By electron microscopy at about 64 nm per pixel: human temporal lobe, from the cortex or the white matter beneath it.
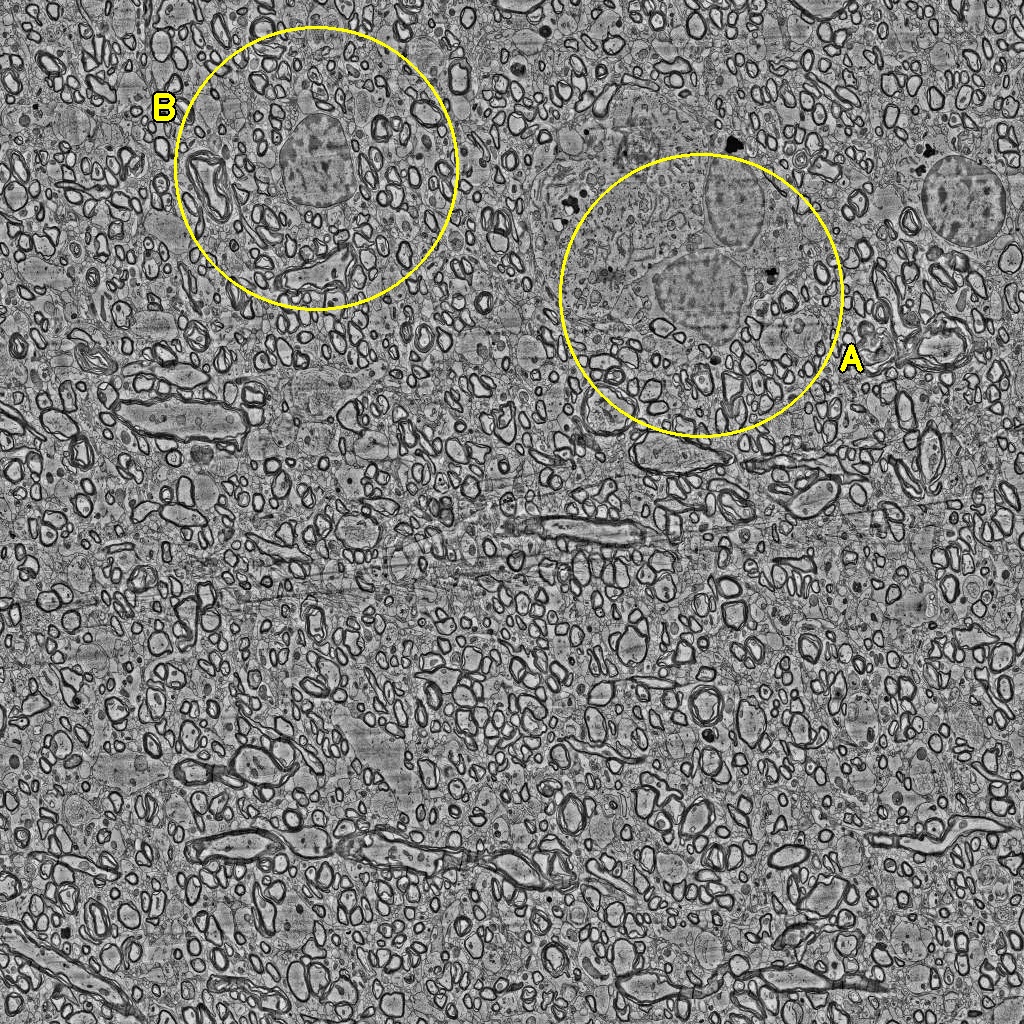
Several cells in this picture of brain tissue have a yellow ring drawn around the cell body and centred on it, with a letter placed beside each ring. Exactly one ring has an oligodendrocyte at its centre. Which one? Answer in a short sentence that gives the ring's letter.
Ring A is centred on it.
